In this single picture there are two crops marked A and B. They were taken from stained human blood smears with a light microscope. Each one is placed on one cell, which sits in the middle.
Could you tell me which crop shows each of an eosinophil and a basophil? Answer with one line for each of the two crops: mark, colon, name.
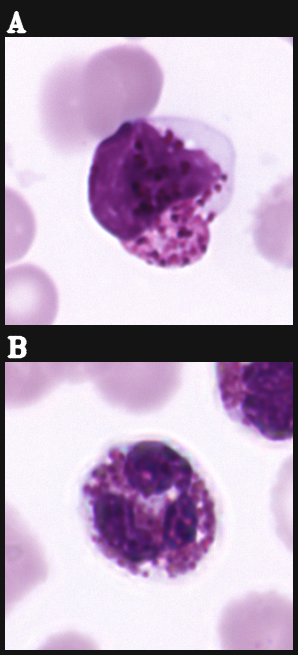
A: basophil
B: eosinophil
